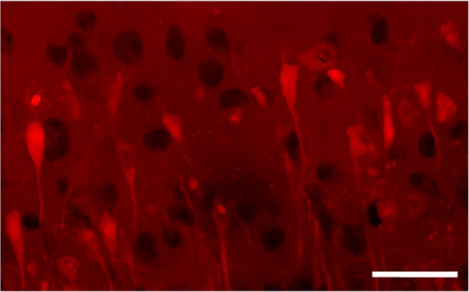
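Neurons in which several cell bodies are brightly filled with red, tapering into a long straight process, the labelled cells lying roughly parallel to one another. Between them lie many unlabelled dark round to oval profiles against a diffuse red background.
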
